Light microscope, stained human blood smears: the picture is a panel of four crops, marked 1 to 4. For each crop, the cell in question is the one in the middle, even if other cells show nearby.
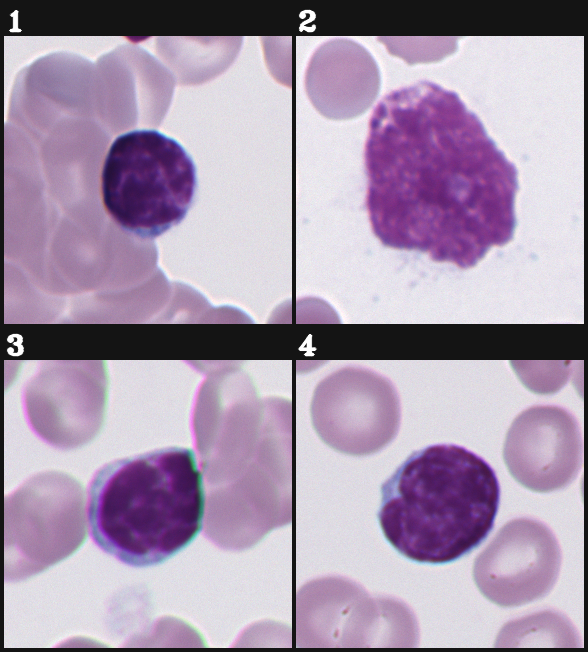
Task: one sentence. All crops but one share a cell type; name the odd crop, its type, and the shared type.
The single exception is crop 2, which is a smudge cell; all other crops show typical lymphocytes.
